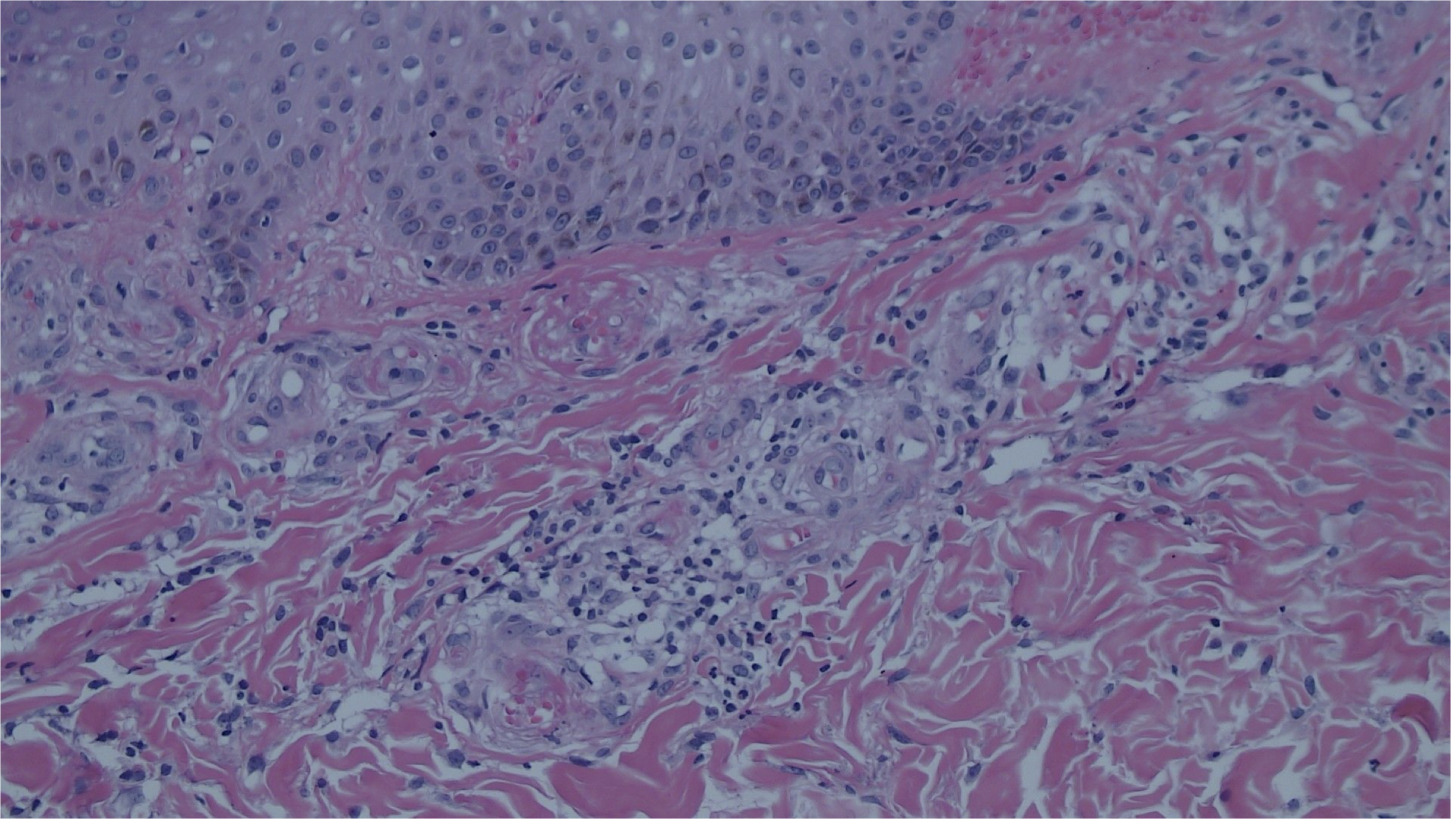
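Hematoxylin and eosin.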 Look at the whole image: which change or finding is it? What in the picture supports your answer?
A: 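Small round dark-nucleated cells cluster around small vessel profiles in the dermis. The small vessels are seen in cross-section beneath the epidermis. Collagen away from the vessels holds fewer of these cells. So: infiltration of lymphocytes around small blood vessels in the dermis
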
